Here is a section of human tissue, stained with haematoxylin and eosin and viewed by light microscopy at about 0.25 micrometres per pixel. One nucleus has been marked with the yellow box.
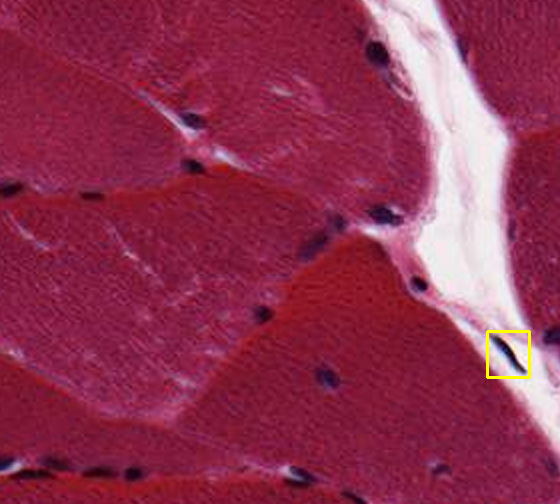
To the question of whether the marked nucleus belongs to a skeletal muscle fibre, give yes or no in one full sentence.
No, the marked nucleus is part of a supporting cell and does not belong to a skeletal muscle fibre.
